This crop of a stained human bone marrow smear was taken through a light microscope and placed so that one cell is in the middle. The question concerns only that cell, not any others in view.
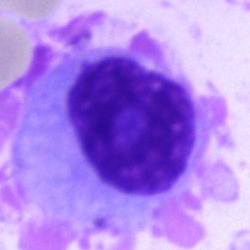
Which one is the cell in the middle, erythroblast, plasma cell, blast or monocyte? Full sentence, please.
Regarding the central cell, it is a plasma cell.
